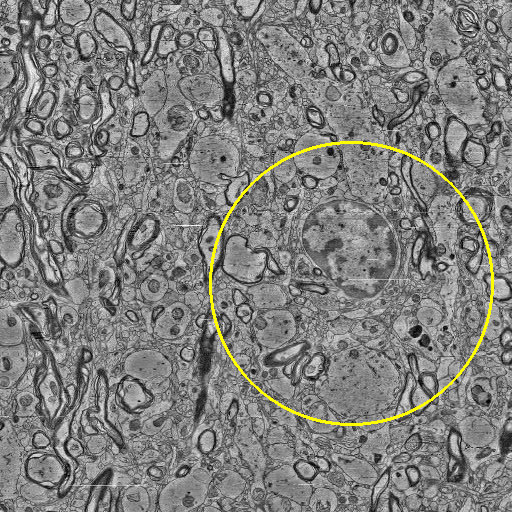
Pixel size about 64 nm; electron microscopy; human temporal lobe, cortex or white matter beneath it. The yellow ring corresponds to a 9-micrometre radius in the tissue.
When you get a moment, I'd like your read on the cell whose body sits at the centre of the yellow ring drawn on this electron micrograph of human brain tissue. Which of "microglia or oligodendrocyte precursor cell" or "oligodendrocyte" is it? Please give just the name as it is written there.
microglia or oligodendrocyte precursor cell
